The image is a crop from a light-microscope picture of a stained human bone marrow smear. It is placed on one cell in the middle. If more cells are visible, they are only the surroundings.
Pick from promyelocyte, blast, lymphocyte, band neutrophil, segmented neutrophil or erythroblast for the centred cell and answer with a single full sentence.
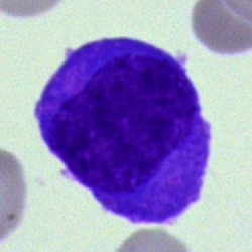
The cell occupying the middle of the crop is a blast.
